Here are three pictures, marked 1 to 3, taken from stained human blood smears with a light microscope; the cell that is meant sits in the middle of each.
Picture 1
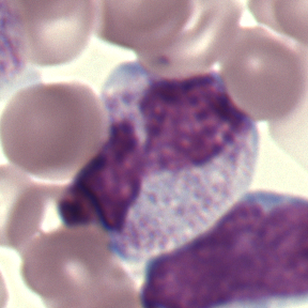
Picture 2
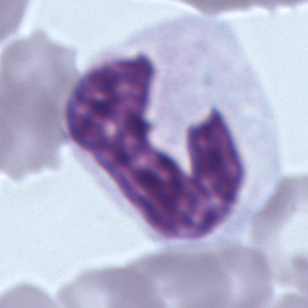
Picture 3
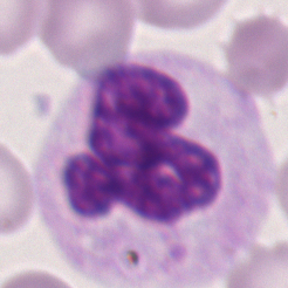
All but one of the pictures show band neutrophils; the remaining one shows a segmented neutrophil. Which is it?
3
